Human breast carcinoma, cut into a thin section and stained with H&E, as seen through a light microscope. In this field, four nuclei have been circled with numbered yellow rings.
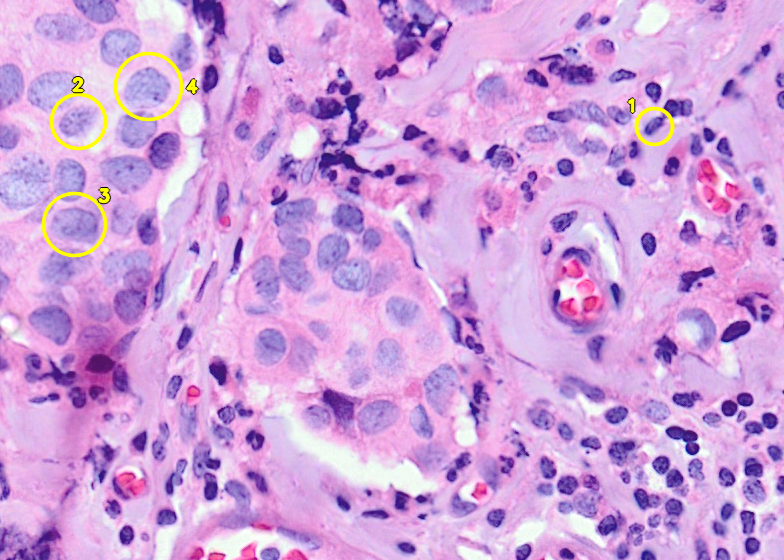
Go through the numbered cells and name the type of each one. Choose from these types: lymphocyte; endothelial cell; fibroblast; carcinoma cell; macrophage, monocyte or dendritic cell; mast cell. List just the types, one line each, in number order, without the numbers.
lymphocyte
carcinoma cell
carcinoma cell
carcinoma cell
